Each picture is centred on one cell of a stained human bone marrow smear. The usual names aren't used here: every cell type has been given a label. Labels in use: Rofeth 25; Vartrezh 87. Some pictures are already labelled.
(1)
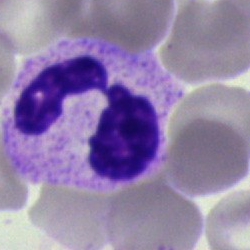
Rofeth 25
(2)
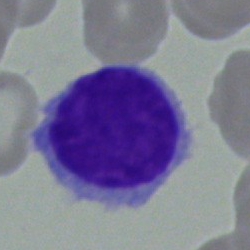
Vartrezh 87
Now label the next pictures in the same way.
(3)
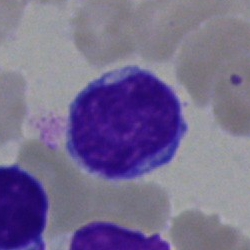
Vartrezh 87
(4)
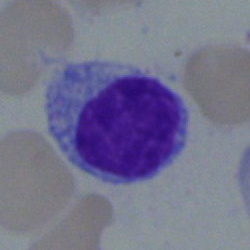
Vartrezh 87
